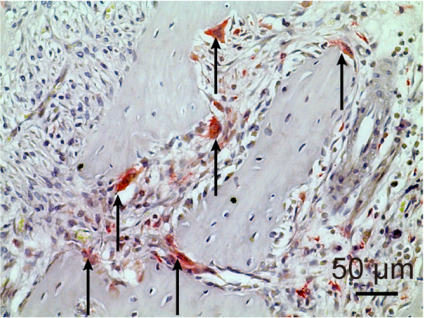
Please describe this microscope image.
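Section of bone with osteoclasts in resorption lacunae. Broad areas of pale pink-grey bone matrix contain scattered small lacunae with dark, flattened nuclei. Between the bone areas run strands of loose connective tissue crowded with small, elongated, dark purple nuclei and a few small vessels. Several cells stained bright red lie directly against the bone margins, often in shallow depressions of the matrix surface; they are larger and more irregular in outline than the surrounding spindle-shaped cells. These red cells are numerous and spread along several bone edges across the field.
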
